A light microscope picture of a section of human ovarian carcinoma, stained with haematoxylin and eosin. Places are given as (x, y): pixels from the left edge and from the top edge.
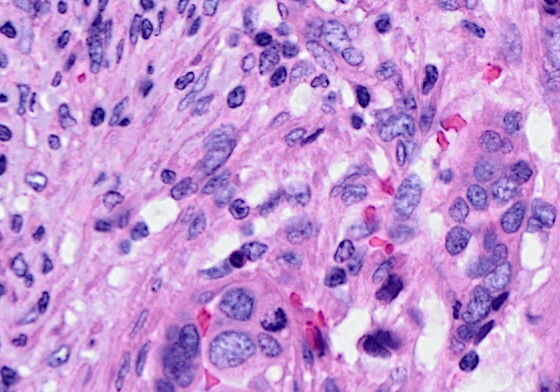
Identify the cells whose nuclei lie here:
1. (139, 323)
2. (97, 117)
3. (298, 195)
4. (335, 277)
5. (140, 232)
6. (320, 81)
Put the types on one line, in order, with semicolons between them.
fibroblast; lymphocyte; fibroblast; lymphocyte; lymphocyte; lymphocyte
